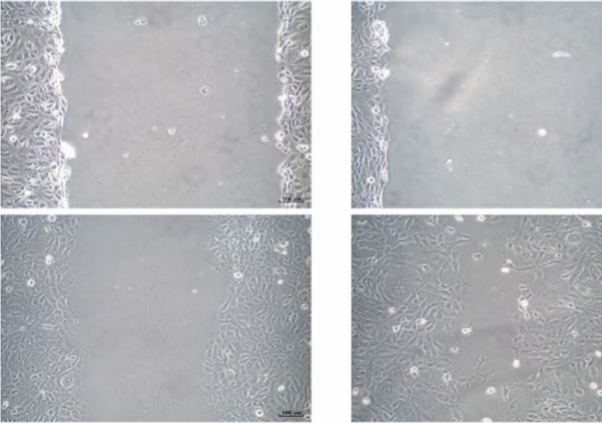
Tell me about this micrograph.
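A few small, round, bright, refractile cells lie loose in the empty gap. In the upper pair the gap is wide and its borders are sharp and straight. In the lower pair the borders are ragged, and elongated cells have spread into the gap, narrowing it. The gap is narrowest in the lower right view.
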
